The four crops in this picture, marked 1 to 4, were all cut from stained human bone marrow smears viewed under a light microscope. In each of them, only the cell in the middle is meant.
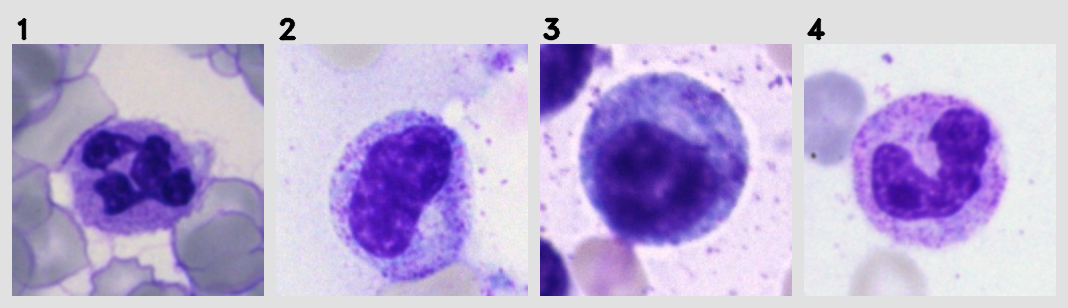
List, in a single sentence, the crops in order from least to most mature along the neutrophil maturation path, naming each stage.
Sorted by stage of maturation, earliest first, the sequence is crop 3 (a promyelocyte), crop 2 (a metamyelocyte), crop 4 (a band neutrophil) and crop 1 (a segmented neutrophil).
